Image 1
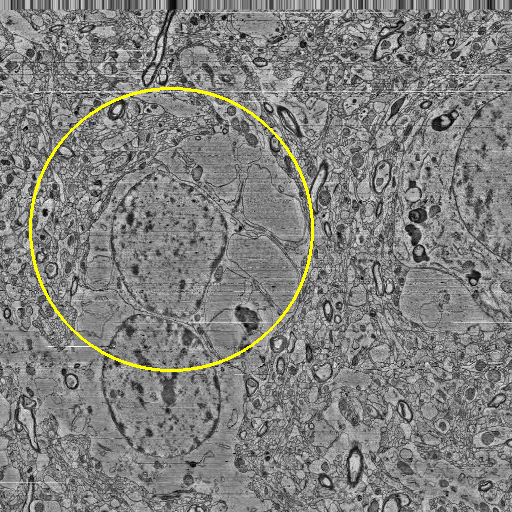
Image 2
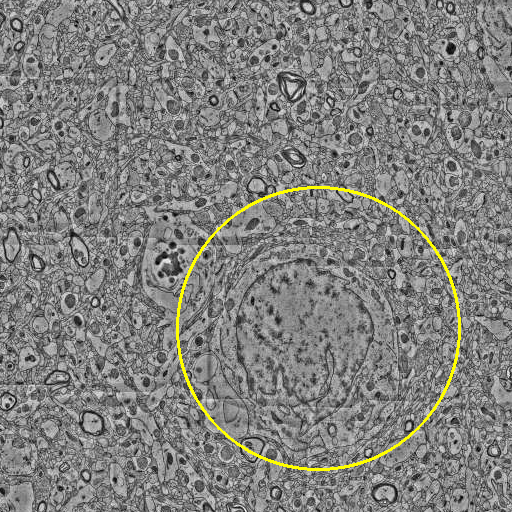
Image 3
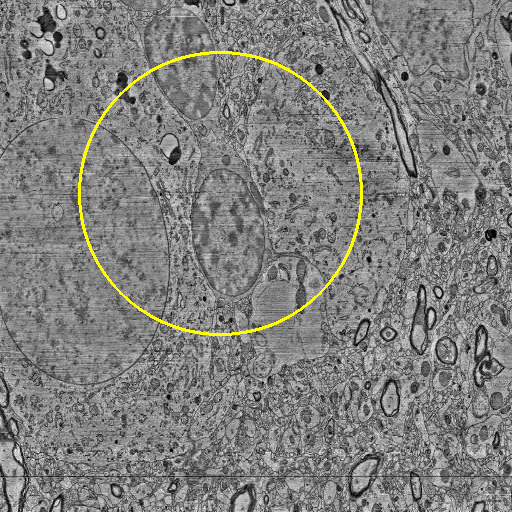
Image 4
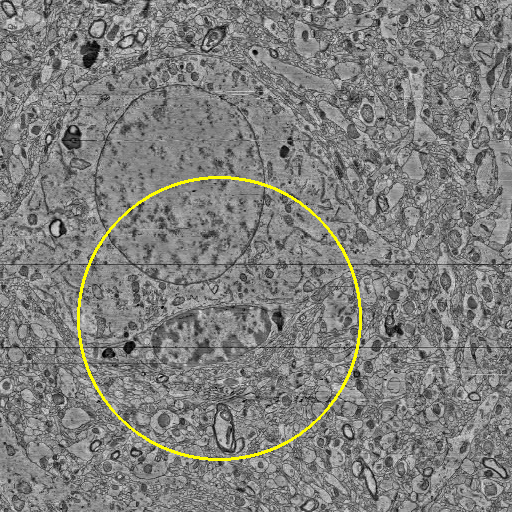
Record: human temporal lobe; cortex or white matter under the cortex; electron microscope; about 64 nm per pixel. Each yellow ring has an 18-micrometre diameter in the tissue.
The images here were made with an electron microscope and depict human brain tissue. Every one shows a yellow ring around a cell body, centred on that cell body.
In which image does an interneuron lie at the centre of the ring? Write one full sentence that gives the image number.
My answer is image 2, where the asked-for cell sits at the centre of the ring.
